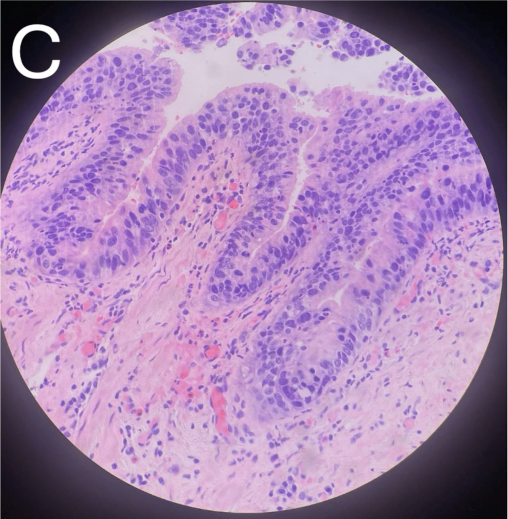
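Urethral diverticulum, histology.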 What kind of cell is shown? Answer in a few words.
columnar epithelial cells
